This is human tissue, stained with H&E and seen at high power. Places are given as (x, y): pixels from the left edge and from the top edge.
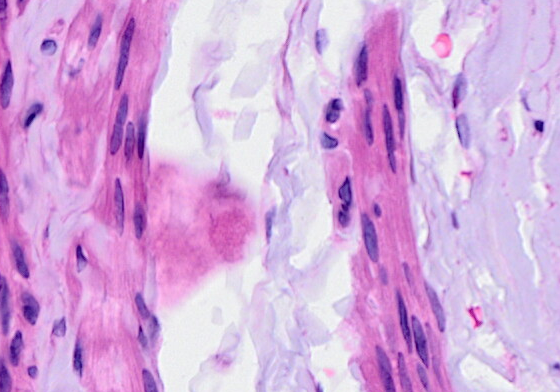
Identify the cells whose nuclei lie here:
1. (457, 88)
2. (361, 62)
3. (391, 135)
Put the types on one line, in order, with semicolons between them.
fibroblast; smooth muscle cell; smooth muscle cell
